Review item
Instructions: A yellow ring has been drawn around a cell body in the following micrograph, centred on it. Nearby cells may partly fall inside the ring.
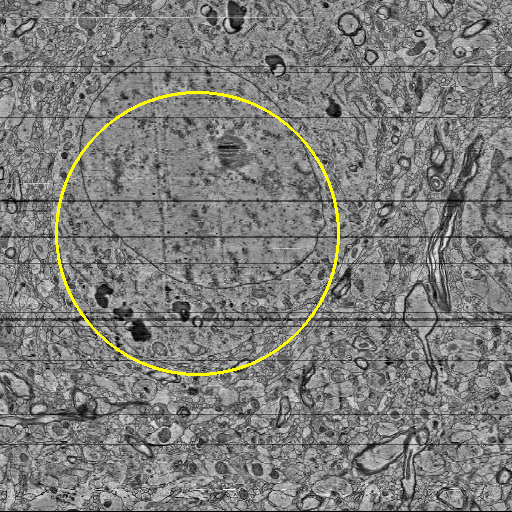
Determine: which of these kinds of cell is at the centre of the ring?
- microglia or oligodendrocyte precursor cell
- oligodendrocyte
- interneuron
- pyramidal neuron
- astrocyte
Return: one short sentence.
The cell body in the middle of the ring is that of a pyramidal neuron.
